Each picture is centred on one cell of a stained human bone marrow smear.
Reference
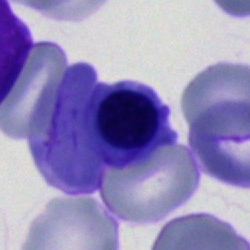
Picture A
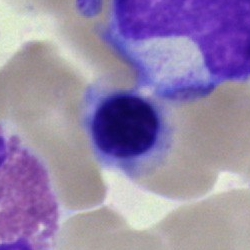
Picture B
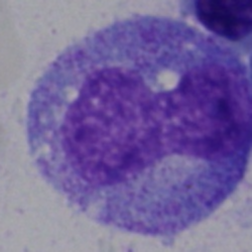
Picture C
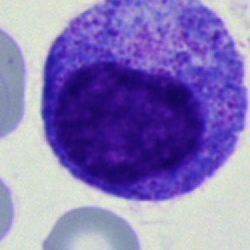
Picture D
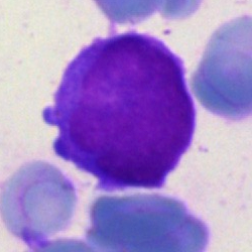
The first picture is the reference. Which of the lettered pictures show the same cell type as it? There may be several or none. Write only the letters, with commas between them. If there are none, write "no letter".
A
